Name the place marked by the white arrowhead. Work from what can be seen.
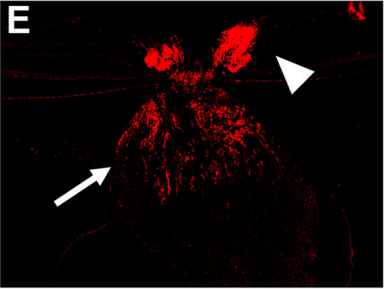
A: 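The arrowhead lies at the level where the retinal layers meet the nerve head. Bright red patches sit at the top of the nerve head, next to the retina.
Prelaminar.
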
